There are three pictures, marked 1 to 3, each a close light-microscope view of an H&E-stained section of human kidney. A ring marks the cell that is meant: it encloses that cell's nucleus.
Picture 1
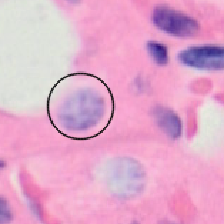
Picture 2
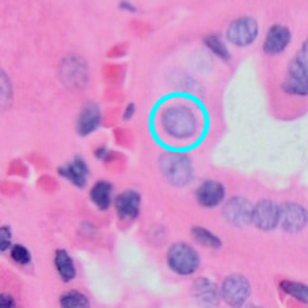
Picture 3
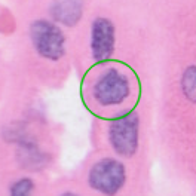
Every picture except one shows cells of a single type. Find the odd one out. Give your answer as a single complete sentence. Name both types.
Picture 1 is the odd one out: it shows a “loop of Henle or distal tubule cell”, while the others show collecting duct cells.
